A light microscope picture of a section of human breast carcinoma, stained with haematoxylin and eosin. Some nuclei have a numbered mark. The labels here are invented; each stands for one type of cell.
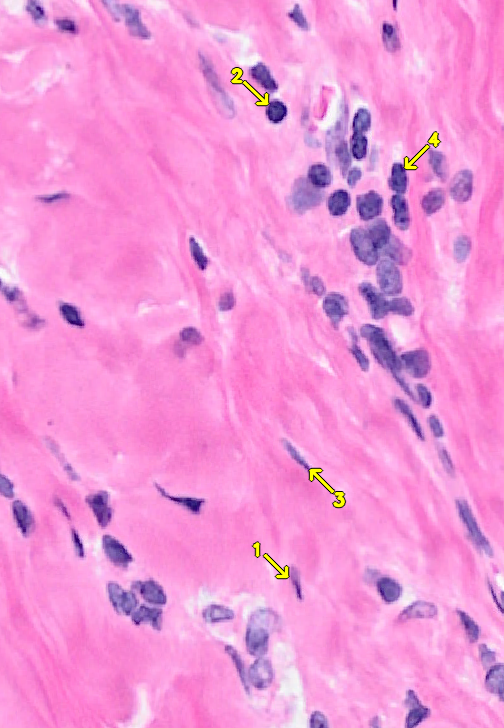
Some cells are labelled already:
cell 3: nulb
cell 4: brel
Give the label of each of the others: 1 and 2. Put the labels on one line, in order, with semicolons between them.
nulb; brel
